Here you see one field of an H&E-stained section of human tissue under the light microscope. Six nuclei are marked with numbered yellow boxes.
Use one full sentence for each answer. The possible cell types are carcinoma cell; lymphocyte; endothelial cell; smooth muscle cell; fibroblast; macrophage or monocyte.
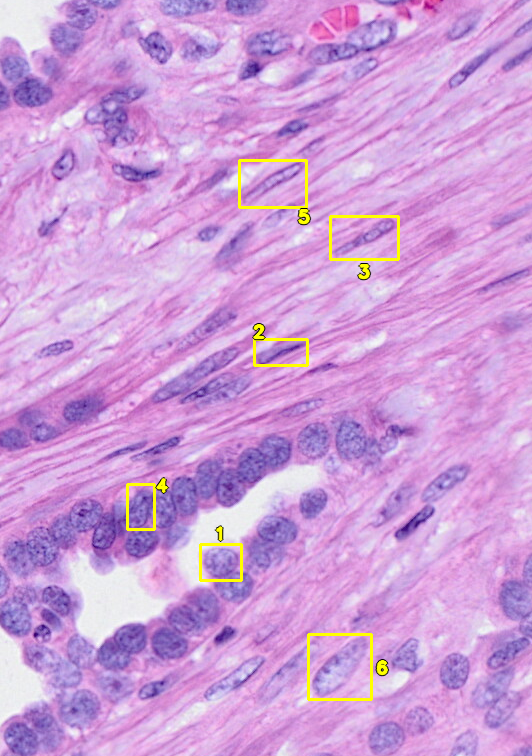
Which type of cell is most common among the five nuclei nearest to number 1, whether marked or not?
Carcinoma cells make up most of the five nuclei closest to number 1.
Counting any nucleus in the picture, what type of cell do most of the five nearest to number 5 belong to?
Fibroblasts make up most of the five nuclei closest to number 5.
